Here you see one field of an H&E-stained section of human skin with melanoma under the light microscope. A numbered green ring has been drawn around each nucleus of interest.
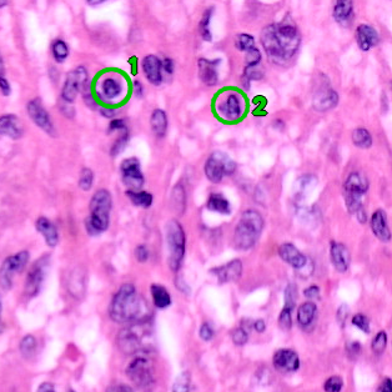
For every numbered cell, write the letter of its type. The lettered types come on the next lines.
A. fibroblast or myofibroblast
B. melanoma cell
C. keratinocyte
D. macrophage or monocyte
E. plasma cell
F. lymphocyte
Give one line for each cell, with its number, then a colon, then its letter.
1: F
2: D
